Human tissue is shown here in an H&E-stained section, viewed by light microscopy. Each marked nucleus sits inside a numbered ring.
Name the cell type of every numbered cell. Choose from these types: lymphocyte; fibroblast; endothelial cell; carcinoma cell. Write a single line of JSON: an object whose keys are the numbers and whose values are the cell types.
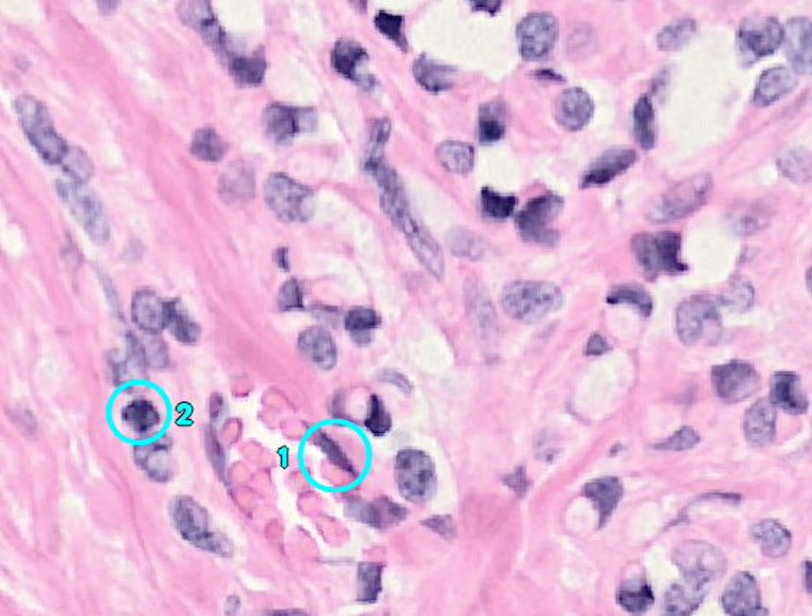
{"1": "endothelial cell", "2": "lymphocyte"}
